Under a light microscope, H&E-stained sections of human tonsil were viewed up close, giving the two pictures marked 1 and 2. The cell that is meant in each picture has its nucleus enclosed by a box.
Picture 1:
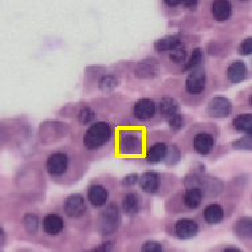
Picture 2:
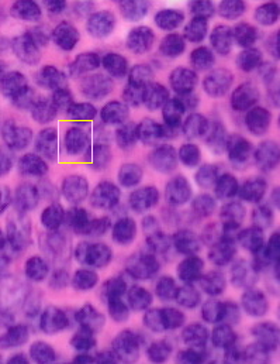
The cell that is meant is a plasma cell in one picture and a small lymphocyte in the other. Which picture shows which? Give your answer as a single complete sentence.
Picture 1 is of a plasma cell, and picture 2 is of a small lymphocyte.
